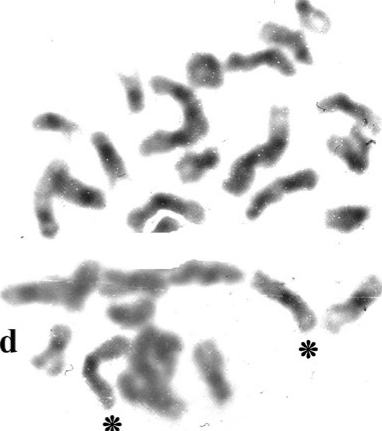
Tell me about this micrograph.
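The chromosomes are condensed, elongated rods, some curved or bent, lying separately in a loose cluster with a few overlapping near the centre. Along many of them darker segments alternate with paler stretches, so the staining is not even from end to end. Two chromosomes lying a little apart in the lower part of the field are marked with asterisks.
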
